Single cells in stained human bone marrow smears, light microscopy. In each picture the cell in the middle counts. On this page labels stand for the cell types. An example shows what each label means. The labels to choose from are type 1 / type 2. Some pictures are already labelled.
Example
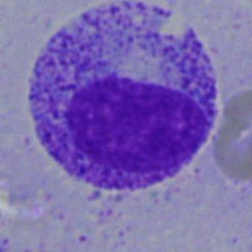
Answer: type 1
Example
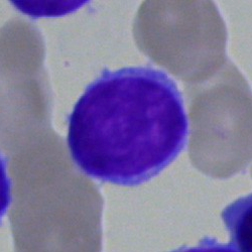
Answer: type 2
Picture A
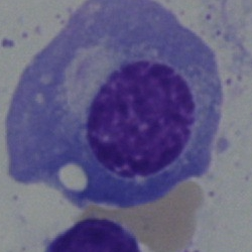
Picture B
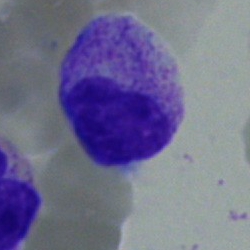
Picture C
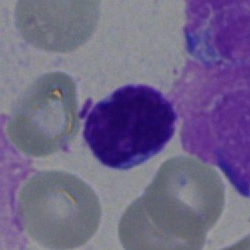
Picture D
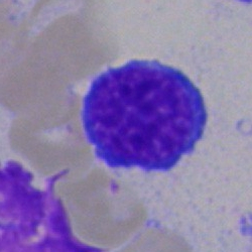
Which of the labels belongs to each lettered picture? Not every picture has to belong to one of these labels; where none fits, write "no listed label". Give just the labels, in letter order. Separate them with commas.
no listed label, type 1, type 2, type 2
